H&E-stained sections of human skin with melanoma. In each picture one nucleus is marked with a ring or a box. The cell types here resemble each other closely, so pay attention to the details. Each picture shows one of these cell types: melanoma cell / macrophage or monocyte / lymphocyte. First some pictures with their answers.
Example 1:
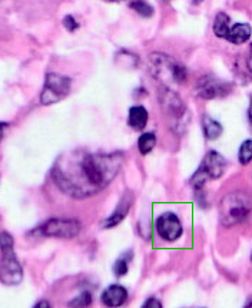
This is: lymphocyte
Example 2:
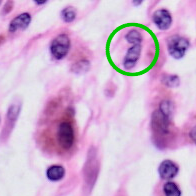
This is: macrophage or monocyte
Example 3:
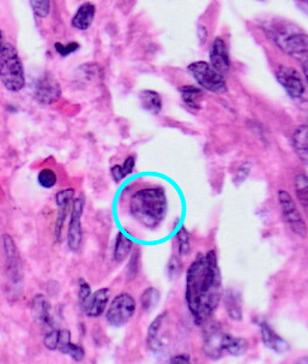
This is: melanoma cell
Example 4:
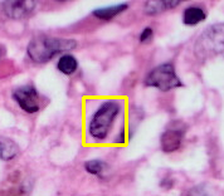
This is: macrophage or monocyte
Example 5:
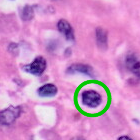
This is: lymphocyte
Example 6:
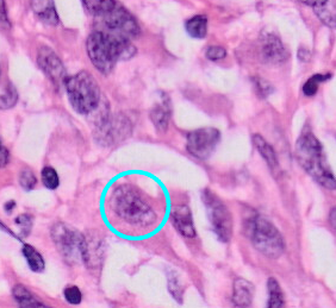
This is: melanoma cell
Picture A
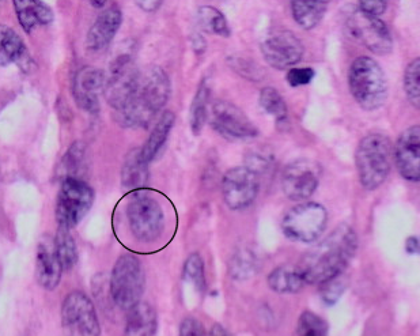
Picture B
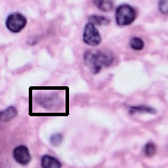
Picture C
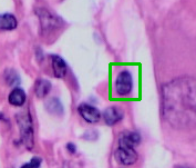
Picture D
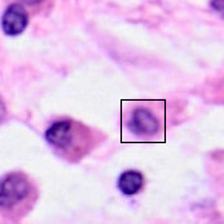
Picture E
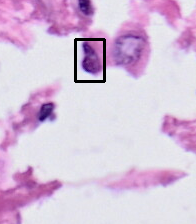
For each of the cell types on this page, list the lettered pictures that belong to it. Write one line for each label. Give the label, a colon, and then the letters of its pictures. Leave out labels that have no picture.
melanoma cell: A, E
macrophage or monocyte: B, D
lymphocyte: C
